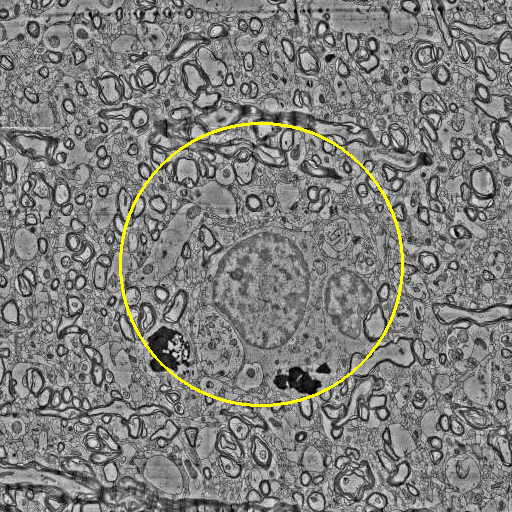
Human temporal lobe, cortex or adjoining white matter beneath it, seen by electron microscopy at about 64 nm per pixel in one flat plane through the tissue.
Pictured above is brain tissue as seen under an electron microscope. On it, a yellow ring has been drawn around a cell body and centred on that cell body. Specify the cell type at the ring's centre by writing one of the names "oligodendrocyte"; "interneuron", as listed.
oligodendrocyte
